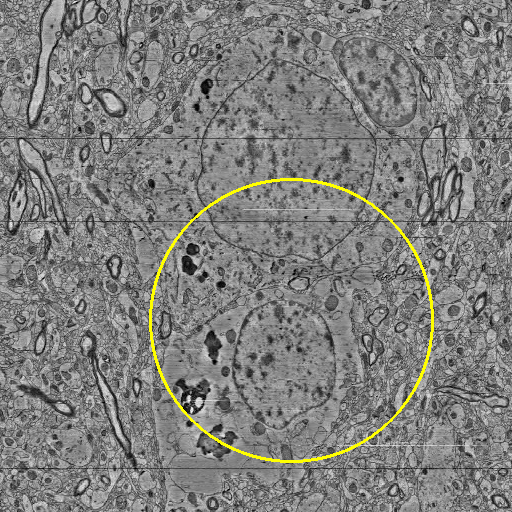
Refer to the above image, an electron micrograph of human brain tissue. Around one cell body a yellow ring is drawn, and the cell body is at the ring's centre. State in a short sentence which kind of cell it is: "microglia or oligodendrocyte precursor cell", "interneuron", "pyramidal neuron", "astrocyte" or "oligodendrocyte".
The centre of the ring falls on an astrocyte.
